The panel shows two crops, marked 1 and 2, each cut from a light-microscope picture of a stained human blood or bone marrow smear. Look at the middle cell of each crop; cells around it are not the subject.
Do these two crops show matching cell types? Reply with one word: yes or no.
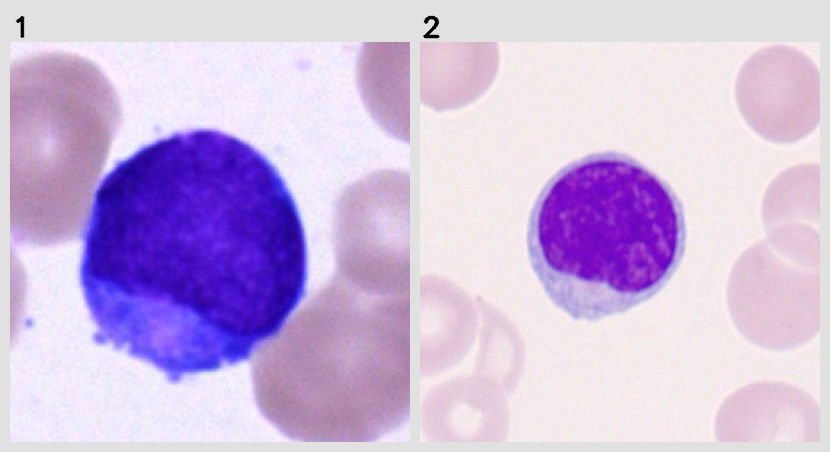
no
